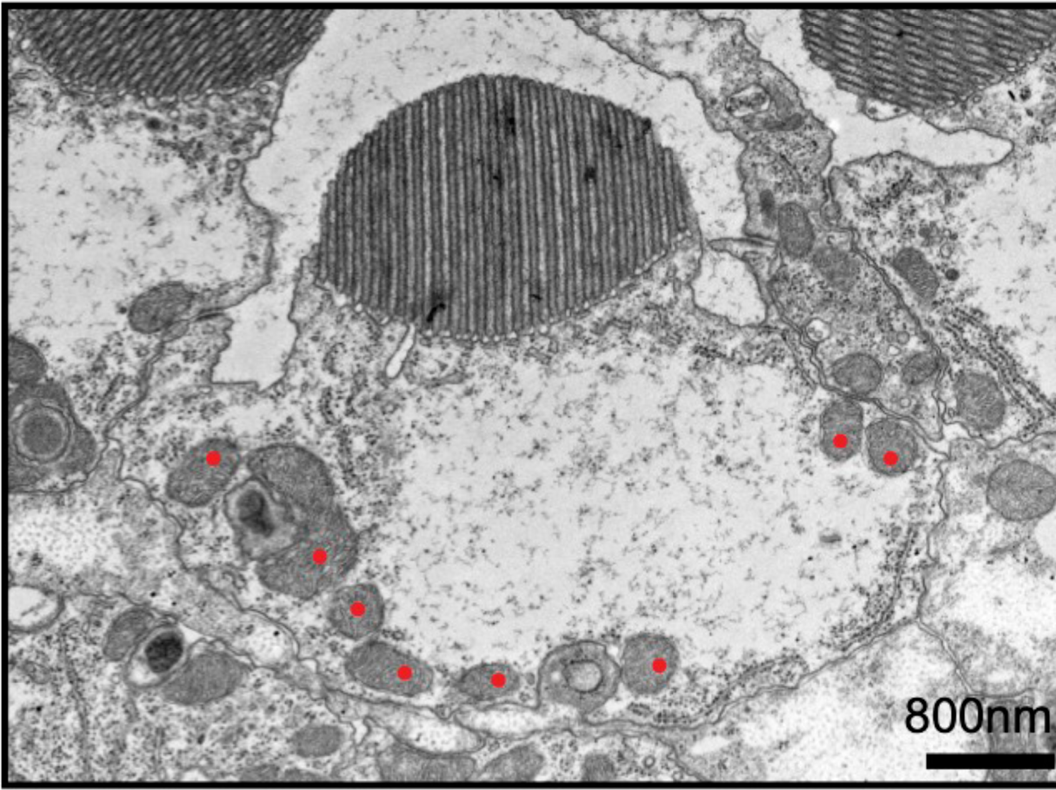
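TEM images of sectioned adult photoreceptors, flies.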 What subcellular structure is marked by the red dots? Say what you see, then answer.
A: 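The red dots mark round to oval dense organelles lining the cell's cytoplasm. On this evidence: Mitochondria.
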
